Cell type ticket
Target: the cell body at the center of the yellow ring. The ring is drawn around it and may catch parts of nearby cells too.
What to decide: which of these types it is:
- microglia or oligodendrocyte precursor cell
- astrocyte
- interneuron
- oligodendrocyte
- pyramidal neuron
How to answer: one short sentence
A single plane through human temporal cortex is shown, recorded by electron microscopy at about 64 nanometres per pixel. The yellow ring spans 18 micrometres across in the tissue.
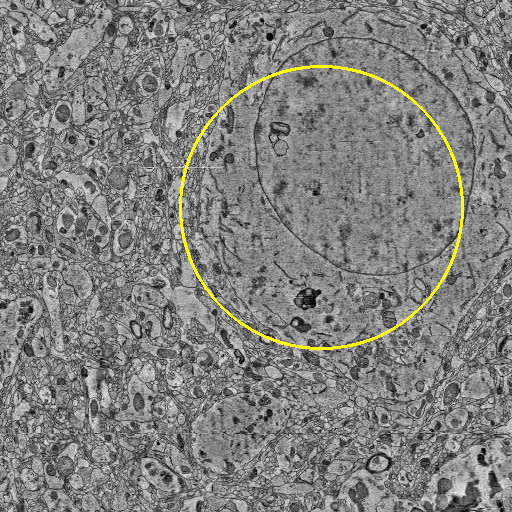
The cell at the center of the ring is a pyramidal neuron.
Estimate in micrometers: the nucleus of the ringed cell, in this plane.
In this plane the nucleus measures roughly 16 by 14 micrometers.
